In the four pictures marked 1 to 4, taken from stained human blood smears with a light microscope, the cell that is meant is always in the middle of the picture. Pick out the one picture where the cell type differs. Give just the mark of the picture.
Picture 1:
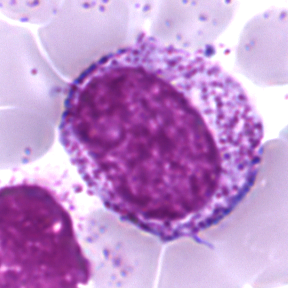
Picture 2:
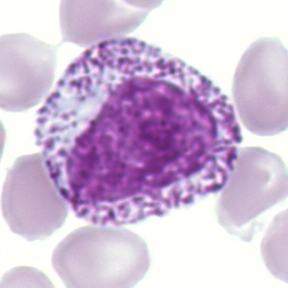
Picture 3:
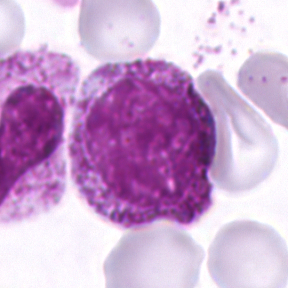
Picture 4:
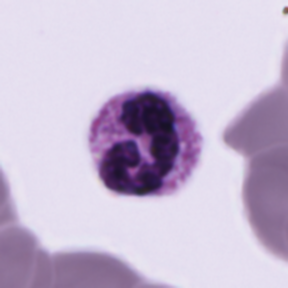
4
